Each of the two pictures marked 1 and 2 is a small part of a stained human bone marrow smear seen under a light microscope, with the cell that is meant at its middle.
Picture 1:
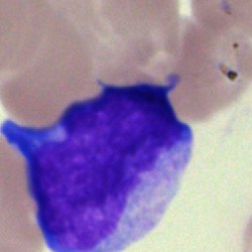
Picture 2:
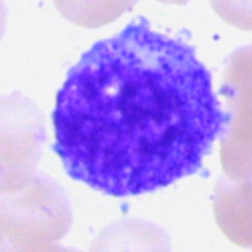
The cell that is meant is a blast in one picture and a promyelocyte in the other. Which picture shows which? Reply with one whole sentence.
Picture 2 shows a promyelocyte, while picture 1 shows a blast.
